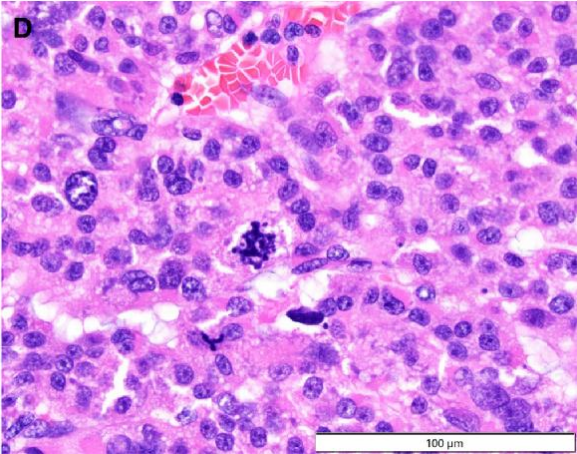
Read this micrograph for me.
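The cells are polygonal, with round to oval nuclei that have fine chromatin and small nucleoli, and moderate amounts of pink granular to pale, vacuolated cytoplasm. In the centre one cell shows an irregular, clumped mass of dark chromosomes without a nuclear membrane, an atypical mitotic figure. Nuclear size varies, with an enlarged nucleus at the left side. A small vessel containing red blood cells lies at the top.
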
